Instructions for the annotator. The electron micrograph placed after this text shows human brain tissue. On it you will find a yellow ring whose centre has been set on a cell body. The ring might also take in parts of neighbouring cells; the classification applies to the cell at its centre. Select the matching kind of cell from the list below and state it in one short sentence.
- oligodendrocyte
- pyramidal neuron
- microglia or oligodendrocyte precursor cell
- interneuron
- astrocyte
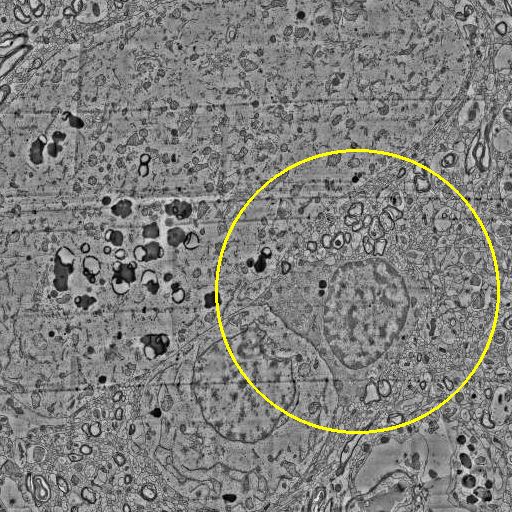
The ring is drawn on the cell body of an oligodendrocyte.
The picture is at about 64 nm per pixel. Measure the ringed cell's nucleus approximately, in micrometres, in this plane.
In this plane the nucleus measures roughly 7 by 6 micrometres.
